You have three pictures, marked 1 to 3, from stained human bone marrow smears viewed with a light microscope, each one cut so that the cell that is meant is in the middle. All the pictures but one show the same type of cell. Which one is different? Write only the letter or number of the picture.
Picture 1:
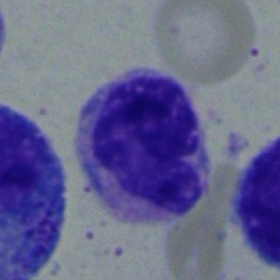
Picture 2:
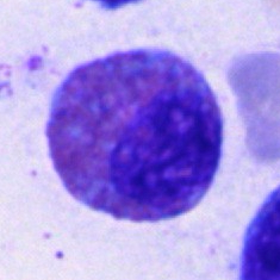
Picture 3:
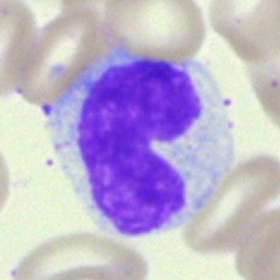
2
